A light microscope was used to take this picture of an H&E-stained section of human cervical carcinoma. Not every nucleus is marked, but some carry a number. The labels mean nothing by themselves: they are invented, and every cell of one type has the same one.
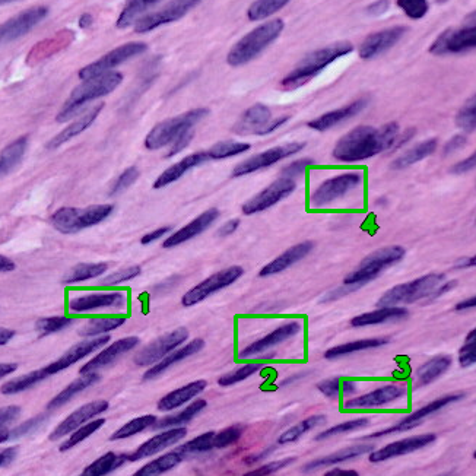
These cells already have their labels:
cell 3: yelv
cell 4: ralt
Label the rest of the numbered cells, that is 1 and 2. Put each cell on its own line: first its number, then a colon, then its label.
1: ralt
2: ralt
